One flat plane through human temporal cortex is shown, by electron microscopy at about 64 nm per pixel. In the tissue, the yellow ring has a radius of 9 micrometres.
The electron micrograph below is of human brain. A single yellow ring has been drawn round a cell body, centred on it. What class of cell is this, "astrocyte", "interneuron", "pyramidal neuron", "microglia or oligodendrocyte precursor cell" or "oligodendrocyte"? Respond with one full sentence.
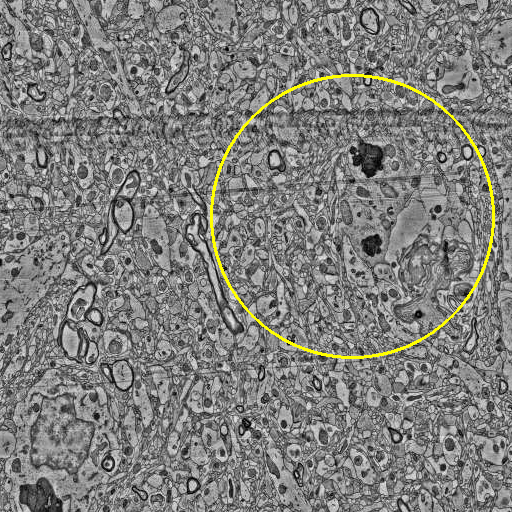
In the micrograph, the cell centred inside the yellow ring is an oligodendrocyte.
